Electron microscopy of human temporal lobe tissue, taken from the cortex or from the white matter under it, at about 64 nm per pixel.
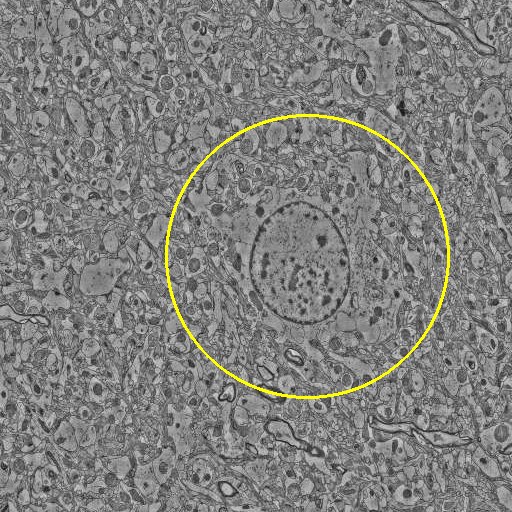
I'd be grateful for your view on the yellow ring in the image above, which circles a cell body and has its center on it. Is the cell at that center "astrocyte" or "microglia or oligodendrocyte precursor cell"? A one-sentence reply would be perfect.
The cell at the center of the yellow ring is an astrocyte.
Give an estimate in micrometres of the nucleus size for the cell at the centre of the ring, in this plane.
About 8 by 6 micrometers for the nucleus, in this plane.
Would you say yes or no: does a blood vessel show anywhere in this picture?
No, no blood vessel can be seen.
